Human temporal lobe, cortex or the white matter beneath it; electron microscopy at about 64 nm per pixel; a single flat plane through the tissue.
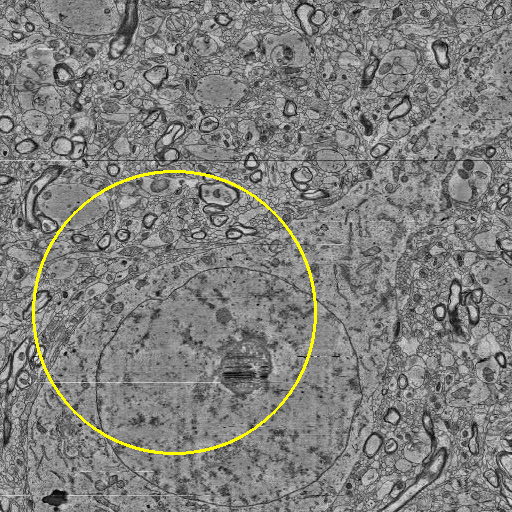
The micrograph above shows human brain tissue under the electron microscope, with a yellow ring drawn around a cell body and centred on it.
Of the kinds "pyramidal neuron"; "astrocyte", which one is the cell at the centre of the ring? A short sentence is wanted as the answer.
The one at the centre of the ring is a pyramidal neuron.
